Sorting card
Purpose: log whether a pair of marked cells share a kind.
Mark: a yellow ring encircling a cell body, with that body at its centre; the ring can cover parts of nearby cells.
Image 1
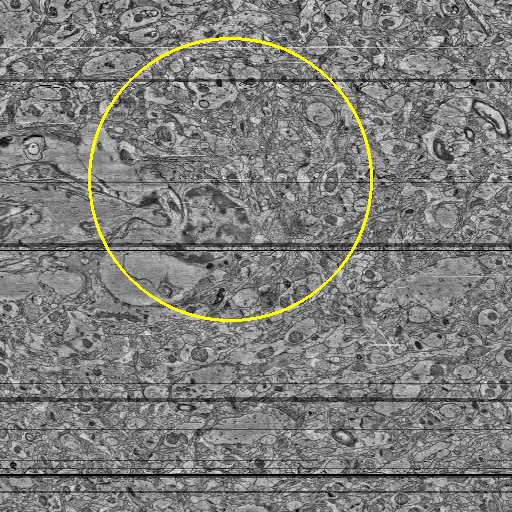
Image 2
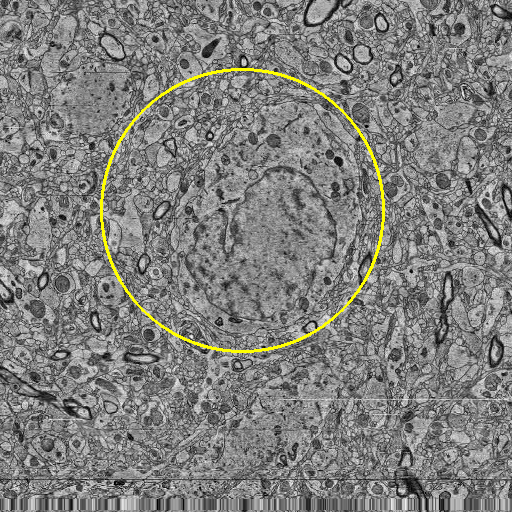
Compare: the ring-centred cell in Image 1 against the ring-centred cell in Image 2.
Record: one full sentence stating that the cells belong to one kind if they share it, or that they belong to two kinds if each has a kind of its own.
Across Images 1 and 2, the two ring-centred cells belong to two kinds.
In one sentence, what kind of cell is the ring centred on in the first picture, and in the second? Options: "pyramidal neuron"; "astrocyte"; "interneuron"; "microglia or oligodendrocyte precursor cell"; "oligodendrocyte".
The cell at the centre of the second ring is an interneuron; the first ring's cell is a microglial cell or oligodendrocyte precursor cell.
